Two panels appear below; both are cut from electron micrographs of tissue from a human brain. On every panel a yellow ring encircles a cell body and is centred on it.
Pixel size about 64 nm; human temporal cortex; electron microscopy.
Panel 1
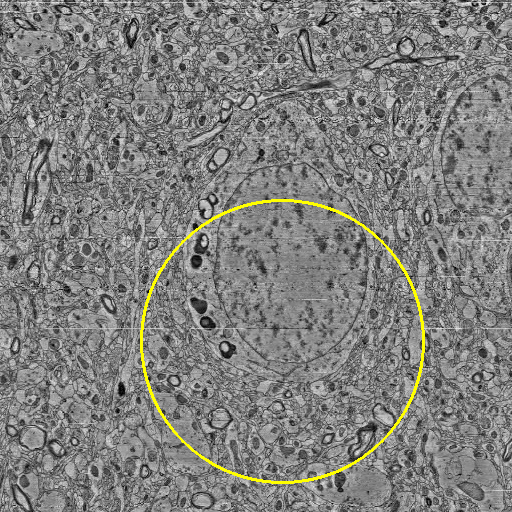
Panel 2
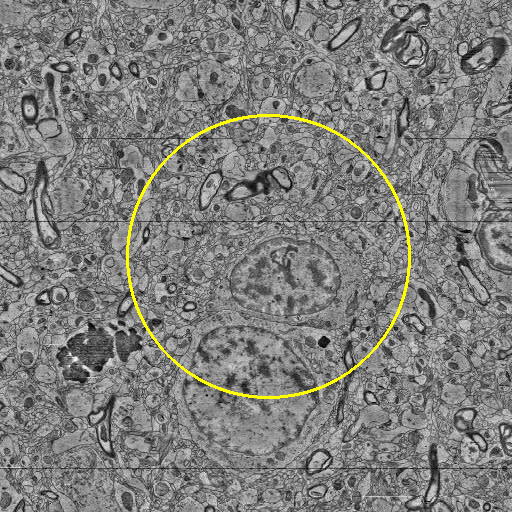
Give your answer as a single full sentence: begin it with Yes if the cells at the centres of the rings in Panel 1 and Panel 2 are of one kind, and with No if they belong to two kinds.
No, the cells in the middle of the rings in Panels 1 and 2 are of two kinds.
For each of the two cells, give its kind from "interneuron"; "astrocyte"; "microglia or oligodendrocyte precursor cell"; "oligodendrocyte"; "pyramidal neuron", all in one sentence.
The first picture has a pyramidal neuron in its ring, the second has an oligodendrocyte.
